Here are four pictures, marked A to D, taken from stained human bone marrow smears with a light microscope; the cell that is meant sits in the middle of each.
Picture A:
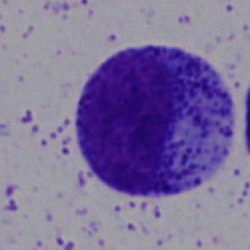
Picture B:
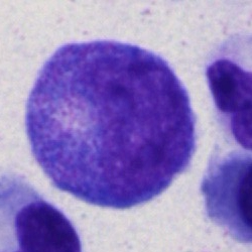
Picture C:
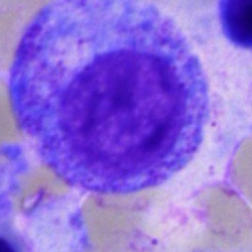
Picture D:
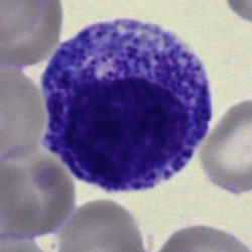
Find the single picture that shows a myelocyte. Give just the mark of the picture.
D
